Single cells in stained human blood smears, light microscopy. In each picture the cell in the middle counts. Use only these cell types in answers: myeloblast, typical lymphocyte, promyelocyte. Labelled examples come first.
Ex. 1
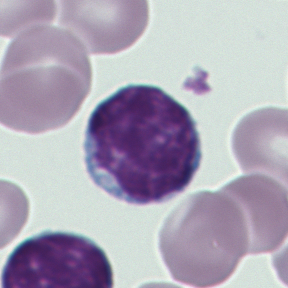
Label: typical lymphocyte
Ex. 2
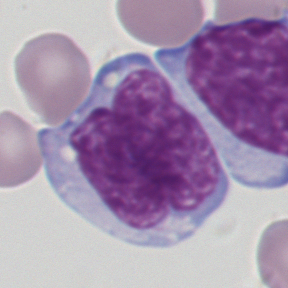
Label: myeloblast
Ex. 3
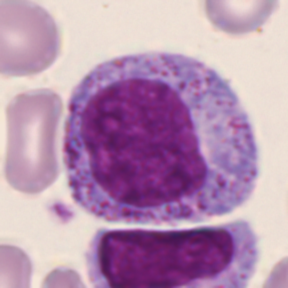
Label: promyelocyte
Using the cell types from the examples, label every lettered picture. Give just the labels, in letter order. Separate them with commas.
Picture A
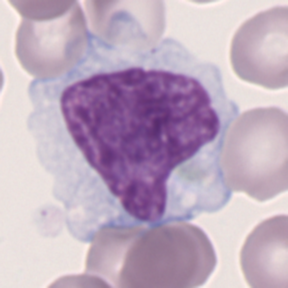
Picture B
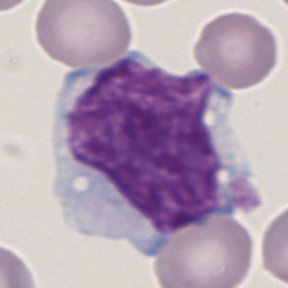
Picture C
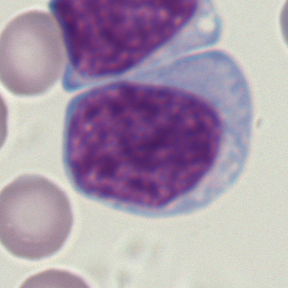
myeloblast, myeloblast, myeloblast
